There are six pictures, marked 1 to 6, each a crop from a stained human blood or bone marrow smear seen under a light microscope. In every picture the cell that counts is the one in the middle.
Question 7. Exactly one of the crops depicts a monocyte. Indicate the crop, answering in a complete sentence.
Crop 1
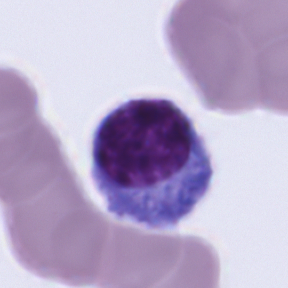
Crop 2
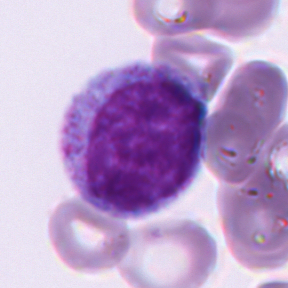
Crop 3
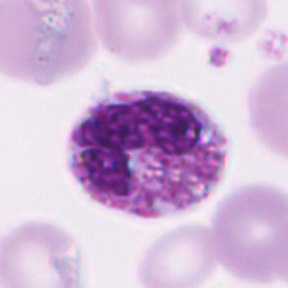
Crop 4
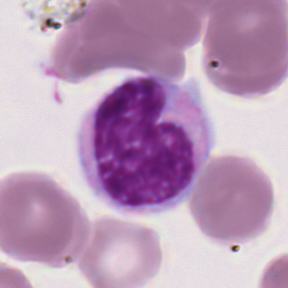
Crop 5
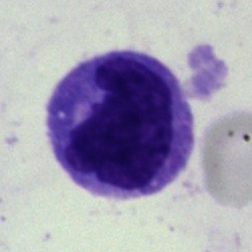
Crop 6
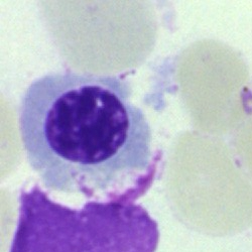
The one crop that shows a monocyte is crop 5.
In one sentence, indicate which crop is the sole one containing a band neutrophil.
It is crop 4 that shows a band neutrophil.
